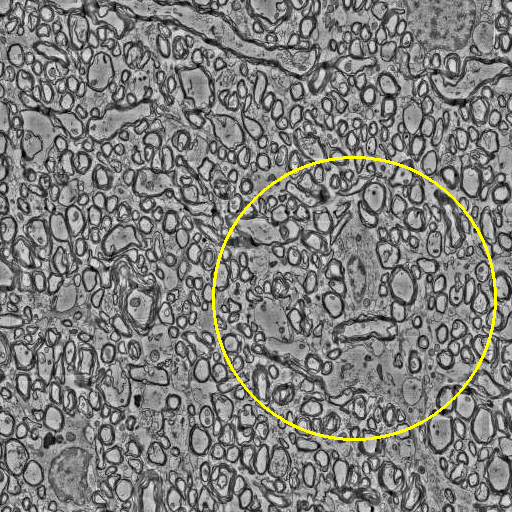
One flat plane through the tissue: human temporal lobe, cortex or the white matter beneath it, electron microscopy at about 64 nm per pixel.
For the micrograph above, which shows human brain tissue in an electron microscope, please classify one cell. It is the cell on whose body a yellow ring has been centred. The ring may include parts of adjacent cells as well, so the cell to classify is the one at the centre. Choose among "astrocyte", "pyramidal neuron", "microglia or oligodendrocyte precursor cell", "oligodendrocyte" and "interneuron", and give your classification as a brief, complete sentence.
I classify this cell as an astrocyte.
